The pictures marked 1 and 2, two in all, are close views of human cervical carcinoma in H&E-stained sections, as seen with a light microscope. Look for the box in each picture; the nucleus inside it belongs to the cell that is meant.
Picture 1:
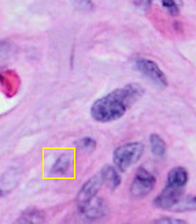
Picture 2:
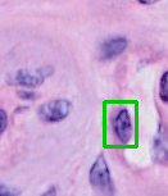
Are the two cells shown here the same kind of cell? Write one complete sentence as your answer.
No, picture 1 shows a smooth muscle cell and picture 2 shows an endothelial cell.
